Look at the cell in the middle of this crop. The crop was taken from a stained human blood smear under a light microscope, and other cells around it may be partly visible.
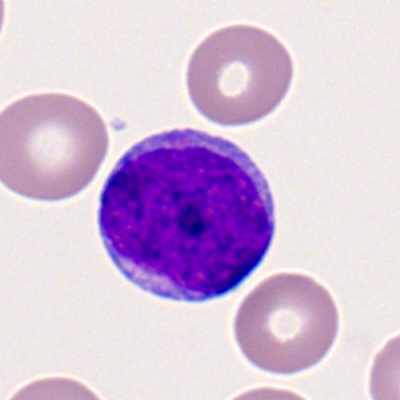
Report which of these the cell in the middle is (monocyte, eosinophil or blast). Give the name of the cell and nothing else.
blast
